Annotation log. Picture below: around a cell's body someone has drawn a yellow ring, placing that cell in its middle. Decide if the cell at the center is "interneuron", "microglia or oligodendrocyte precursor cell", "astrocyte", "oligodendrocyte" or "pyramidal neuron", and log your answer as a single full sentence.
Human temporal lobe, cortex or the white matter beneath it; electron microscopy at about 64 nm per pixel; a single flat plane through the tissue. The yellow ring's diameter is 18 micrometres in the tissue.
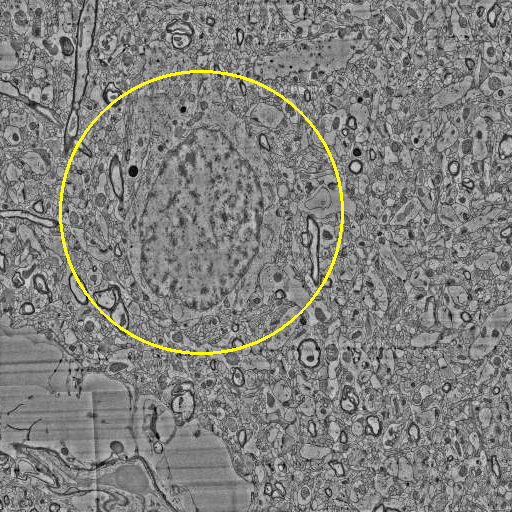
My entry records an interneuron as the cell sitting at the center of the yellow ring.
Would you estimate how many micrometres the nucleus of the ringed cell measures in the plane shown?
Approximately 12 micrometres long and 8 micrometres wide, in this plane.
